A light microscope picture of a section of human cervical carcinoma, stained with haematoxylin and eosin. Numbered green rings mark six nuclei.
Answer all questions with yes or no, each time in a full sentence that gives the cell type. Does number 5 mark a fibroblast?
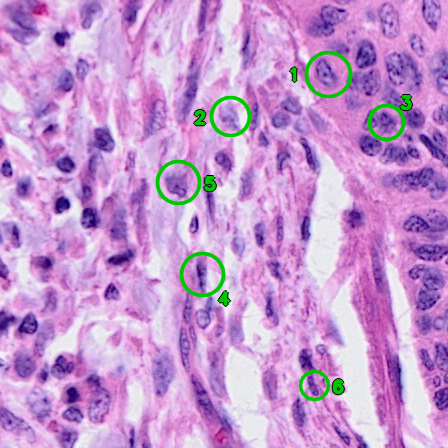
Yes, that one, number 5, is a fibroblast.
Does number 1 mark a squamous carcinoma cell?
Yes, the cell that the number 1 labels is a squamous carcinoma cell.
